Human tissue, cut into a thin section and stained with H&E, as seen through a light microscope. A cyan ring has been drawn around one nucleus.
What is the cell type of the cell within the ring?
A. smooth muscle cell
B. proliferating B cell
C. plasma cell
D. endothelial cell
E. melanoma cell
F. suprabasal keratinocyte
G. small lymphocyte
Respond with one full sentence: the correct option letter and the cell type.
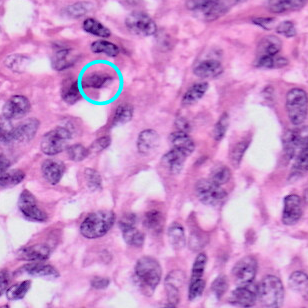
Here the cell within the ring is a melanoma cell; pick option E.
